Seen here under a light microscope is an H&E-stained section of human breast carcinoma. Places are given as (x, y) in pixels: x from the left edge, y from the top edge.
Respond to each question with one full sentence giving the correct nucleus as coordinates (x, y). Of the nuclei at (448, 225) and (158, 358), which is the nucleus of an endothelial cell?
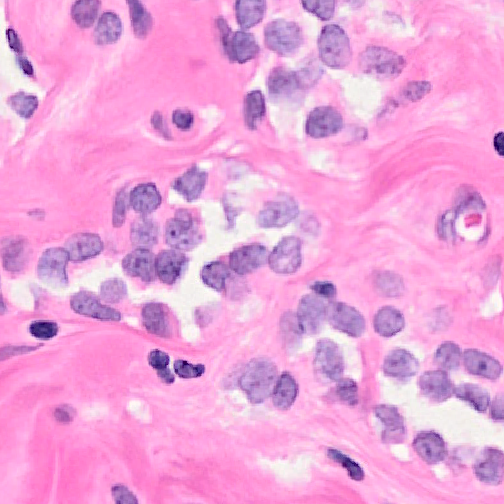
The nucleus at (448, 225) is housed in an endothelial cell.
